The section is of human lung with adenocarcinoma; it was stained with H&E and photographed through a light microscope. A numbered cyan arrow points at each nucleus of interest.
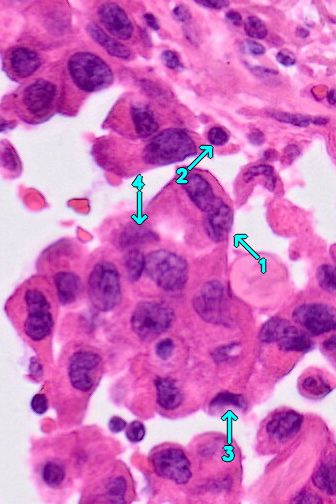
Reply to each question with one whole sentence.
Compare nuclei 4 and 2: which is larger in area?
Of the two, number 4 is bigger and takes up about 2 times the area of number 2.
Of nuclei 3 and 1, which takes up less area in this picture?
It is nucleus 3; nucleus 1 has about 2 times its area.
